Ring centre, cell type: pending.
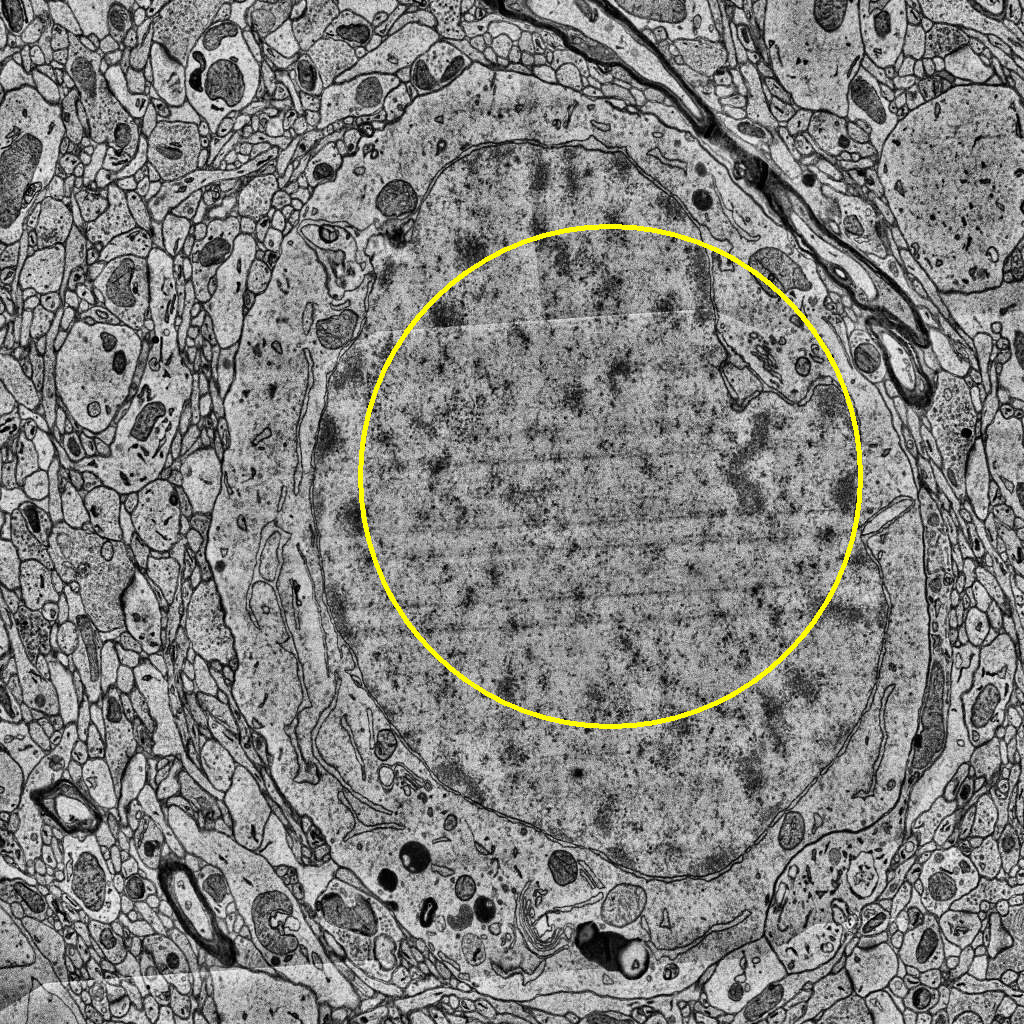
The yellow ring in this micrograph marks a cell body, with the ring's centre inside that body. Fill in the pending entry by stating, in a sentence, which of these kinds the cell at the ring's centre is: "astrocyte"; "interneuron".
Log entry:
The cell at the ring's centre is recorded as an interneuron.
